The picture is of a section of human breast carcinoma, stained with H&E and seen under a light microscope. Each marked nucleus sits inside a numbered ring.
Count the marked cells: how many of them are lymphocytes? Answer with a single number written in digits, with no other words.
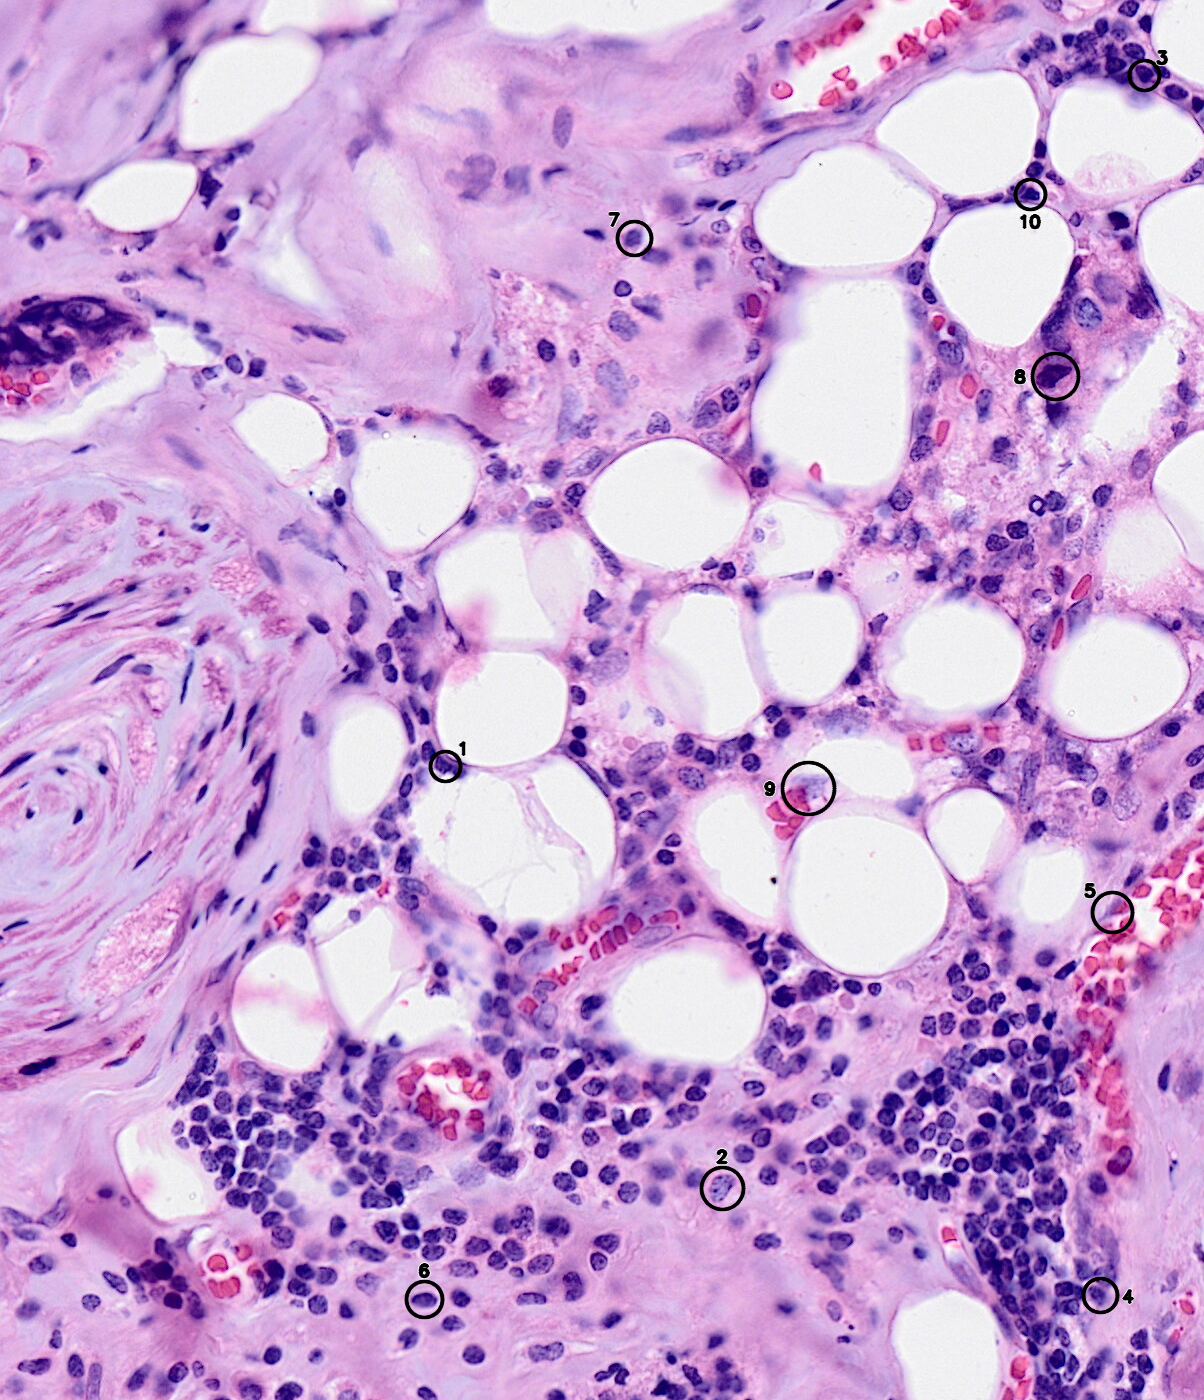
6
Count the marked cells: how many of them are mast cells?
1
